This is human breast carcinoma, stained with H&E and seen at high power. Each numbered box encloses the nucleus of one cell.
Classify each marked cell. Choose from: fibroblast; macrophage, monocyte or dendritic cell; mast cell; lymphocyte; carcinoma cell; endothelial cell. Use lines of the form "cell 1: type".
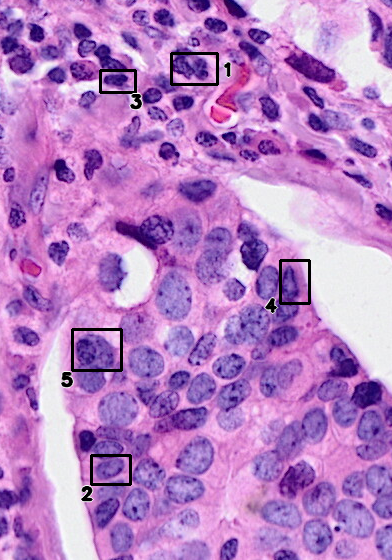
cell 1: lymphocyte
cell 2: carcinoma cell
cell 3: lymphocyte
cell 4: carcinoma cell
cell 5: carcinoma cell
